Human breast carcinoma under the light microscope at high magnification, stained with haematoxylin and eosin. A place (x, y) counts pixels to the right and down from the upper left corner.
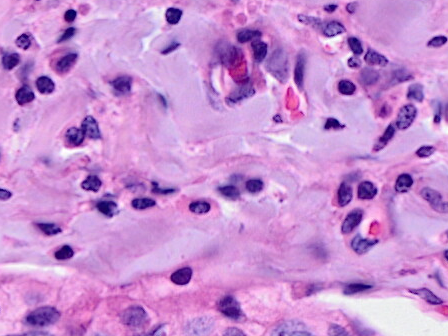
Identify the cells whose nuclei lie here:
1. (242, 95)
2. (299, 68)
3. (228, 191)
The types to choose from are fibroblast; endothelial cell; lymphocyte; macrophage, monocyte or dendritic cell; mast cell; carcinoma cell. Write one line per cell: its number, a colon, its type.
1: endothelial cell
2: endothelial cell
3: lymphocyte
